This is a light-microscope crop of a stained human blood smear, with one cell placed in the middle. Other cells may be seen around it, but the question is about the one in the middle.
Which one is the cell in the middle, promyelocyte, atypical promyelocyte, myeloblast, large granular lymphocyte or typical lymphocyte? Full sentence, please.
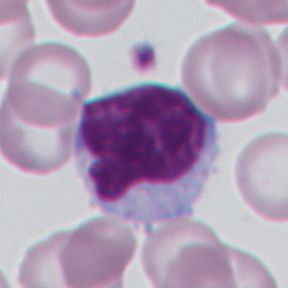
Centrally within this crop lies a typical lymphocyte.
